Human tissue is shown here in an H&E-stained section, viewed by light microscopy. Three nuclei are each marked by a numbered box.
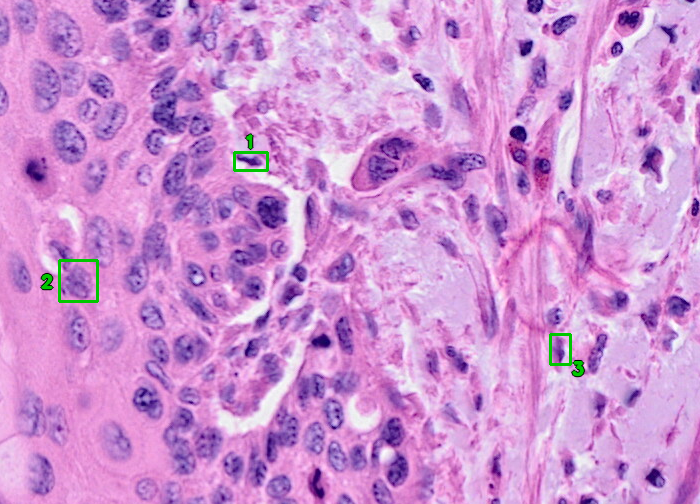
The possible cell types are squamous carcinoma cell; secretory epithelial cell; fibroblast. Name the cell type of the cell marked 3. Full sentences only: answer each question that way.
The nucleus with number 3 is that of a fibroblast.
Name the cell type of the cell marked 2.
The cell indicated by marker 2 is a squamous carcinoma cell in this section.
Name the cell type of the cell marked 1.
The cell identified by the number 1 is a fibroblast.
